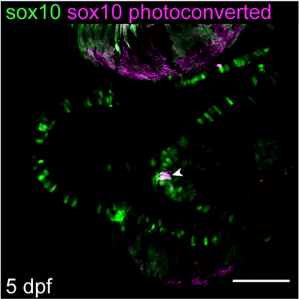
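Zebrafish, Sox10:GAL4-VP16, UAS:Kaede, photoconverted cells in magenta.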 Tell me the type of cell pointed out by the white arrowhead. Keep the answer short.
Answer: Chondrocytes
